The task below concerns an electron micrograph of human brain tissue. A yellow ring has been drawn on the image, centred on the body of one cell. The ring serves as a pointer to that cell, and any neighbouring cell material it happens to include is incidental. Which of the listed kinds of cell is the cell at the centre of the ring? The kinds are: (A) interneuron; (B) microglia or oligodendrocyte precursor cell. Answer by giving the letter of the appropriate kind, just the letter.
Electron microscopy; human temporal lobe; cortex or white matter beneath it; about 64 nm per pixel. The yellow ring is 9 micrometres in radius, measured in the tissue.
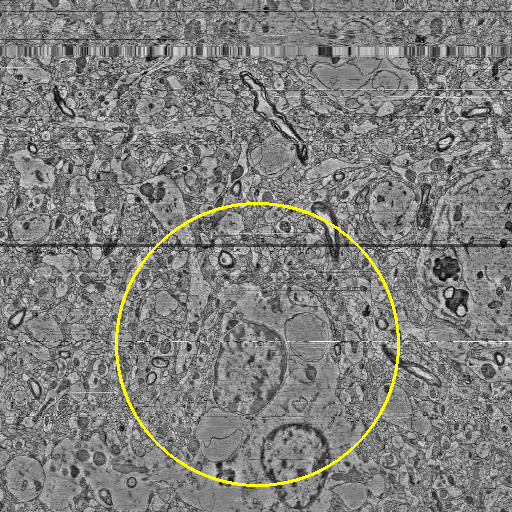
B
